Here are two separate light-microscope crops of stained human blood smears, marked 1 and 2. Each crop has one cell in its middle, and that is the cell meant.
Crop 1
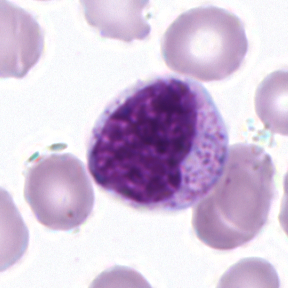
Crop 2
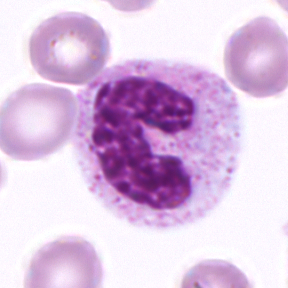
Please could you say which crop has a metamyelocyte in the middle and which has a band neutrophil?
1: metamyelocyte
2: band neutrophil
